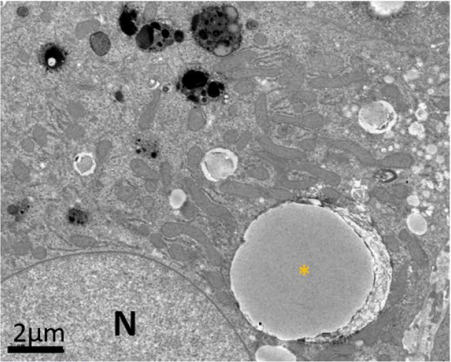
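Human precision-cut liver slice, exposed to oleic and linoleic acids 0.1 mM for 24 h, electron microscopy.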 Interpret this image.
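Transmission electron micrograph of hepatocyte cytoplasm next to part of a nucleus at the lower left. A single large round, evenly grey lipid droplet sits beside the nucleus, several micrometres across and far larger than the surrounding organelles. Elongated mitochondria run through the cytoplasm, and several dark, dense granular bodies lie near the top. Small pale round vacuoles are scattered at the right.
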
